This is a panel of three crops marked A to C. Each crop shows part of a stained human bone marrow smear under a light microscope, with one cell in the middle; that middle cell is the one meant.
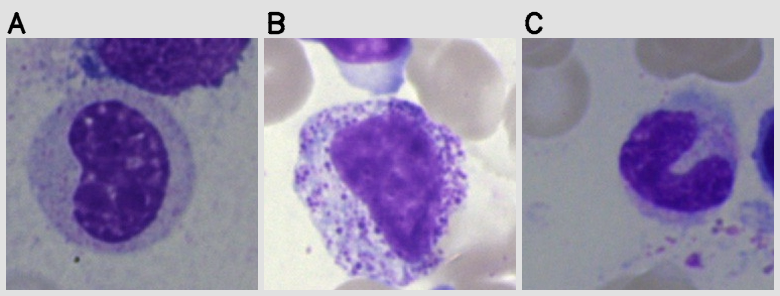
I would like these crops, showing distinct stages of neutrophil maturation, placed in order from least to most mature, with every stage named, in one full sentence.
In ascending order of maturity, the cells are crop B (a myelocyte), crop A (a metamyelocyte) and crop C (a band neutrophil).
